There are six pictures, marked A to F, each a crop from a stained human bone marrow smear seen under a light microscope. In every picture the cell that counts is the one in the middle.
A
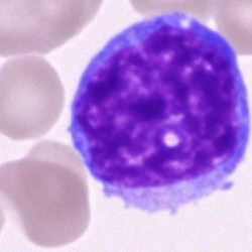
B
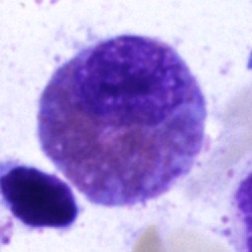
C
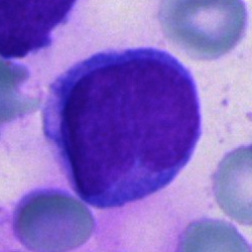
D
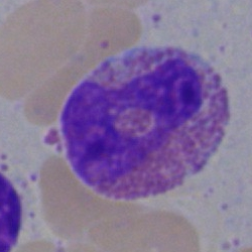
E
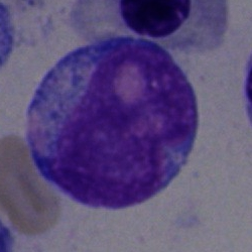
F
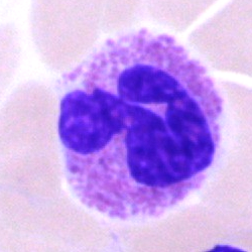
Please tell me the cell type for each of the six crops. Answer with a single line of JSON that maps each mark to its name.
{"A": "blast", "B": "eosinophil", "C": "blast", "D": "eosinophil", "E": "blast", "F": "eosinophil"}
